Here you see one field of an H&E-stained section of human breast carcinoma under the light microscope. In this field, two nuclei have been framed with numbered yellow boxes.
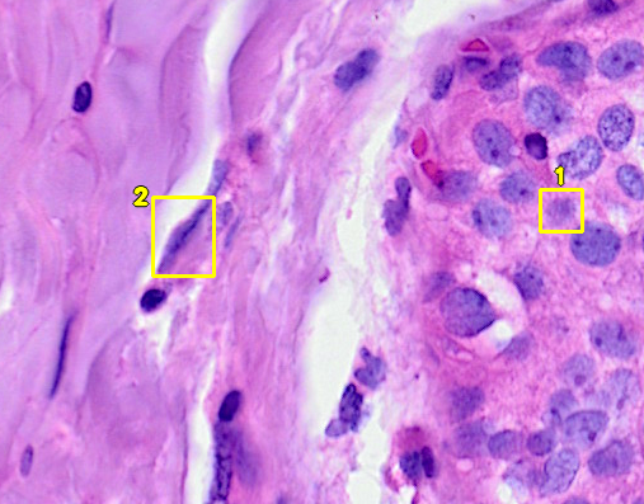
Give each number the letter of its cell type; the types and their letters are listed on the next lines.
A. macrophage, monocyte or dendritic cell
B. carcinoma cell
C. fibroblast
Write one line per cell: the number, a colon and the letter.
1: B
2: C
